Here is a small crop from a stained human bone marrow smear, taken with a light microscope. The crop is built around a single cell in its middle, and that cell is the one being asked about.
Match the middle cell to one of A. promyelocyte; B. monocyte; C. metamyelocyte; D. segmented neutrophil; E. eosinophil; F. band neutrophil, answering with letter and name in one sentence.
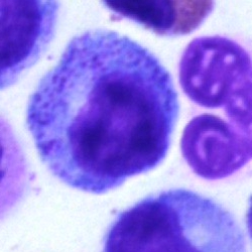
The best answer is option A, since the cell in the middle is a promyelocyte.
